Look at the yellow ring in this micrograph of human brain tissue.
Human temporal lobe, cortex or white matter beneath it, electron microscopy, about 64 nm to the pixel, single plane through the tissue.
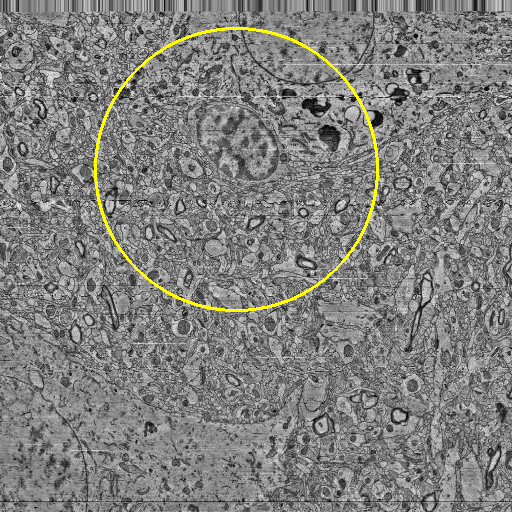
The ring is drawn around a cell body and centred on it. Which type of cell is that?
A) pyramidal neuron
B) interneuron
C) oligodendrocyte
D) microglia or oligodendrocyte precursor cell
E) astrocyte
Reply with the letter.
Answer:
C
